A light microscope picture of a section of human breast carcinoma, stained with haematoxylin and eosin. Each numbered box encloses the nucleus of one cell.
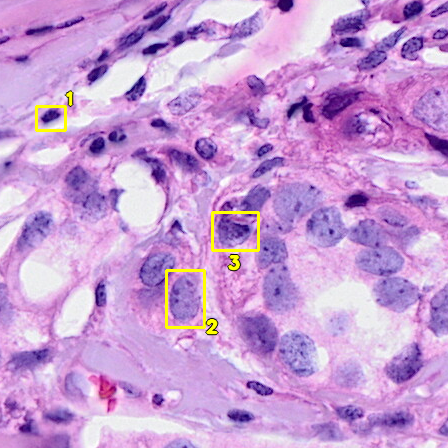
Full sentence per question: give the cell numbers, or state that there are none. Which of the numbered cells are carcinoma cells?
The cells which carry the numbers 2 and 3 are carcinoma cells.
